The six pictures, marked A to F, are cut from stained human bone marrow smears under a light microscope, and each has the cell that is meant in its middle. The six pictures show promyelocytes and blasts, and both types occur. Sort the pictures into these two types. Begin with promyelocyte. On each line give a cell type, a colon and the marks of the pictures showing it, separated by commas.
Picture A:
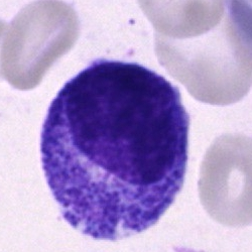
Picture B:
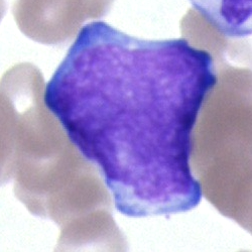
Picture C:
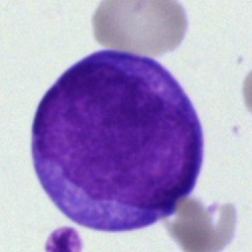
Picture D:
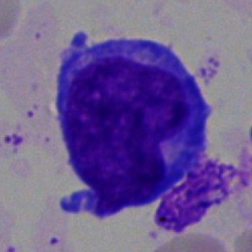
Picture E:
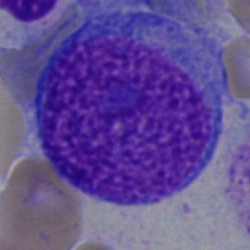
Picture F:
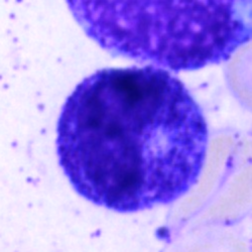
promyelocyte: A, F
blast: B, C, D, E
